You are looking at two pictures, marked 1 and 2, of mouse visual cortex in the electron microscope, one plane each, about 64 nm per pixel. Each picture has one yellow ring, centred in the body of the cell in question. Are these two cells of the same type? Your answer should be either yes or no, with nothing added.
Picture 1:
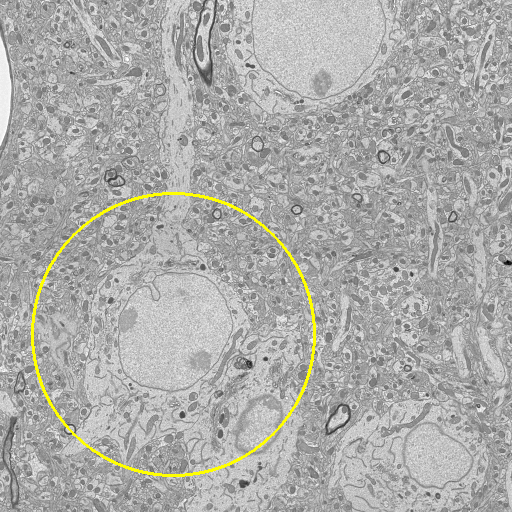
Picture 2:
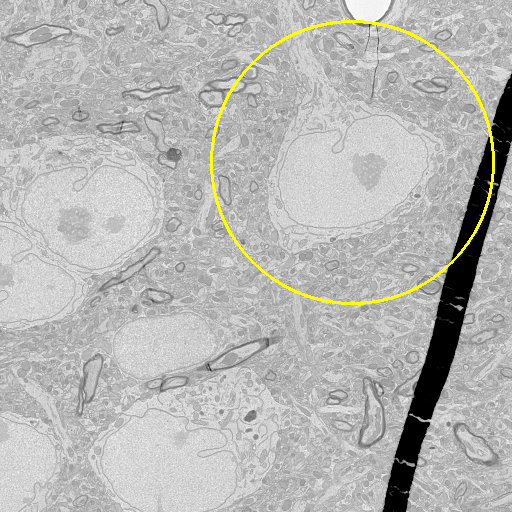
yes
